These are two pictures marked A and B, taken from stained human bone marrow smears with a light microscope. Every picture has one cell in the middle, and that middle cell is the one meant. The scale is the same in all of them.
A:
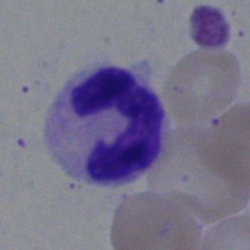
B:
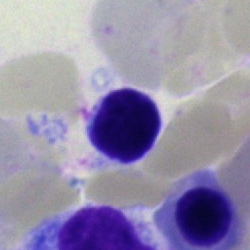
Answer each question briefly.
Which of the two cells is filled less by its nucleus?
A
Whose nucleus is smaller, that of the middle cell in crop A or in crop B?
B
